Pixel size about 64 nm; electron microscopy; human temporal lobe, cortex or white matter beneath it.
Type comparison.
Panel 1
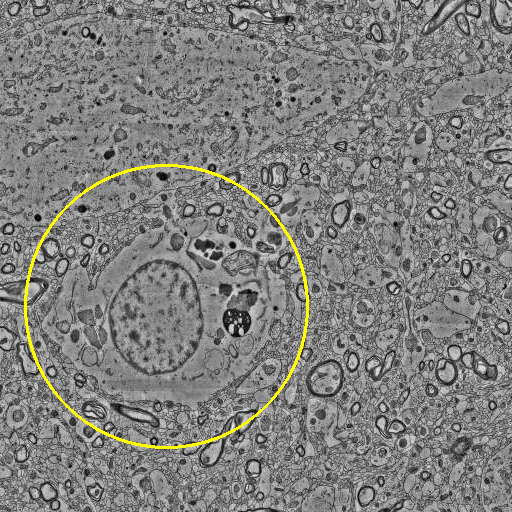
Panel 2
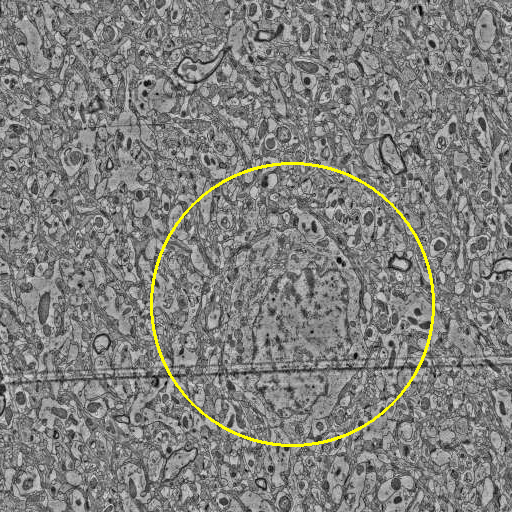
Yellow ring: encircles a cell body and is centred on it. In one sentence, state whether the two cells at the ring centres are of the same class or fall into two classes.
In these panels, the two cells at the ring centres fall into two classes.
